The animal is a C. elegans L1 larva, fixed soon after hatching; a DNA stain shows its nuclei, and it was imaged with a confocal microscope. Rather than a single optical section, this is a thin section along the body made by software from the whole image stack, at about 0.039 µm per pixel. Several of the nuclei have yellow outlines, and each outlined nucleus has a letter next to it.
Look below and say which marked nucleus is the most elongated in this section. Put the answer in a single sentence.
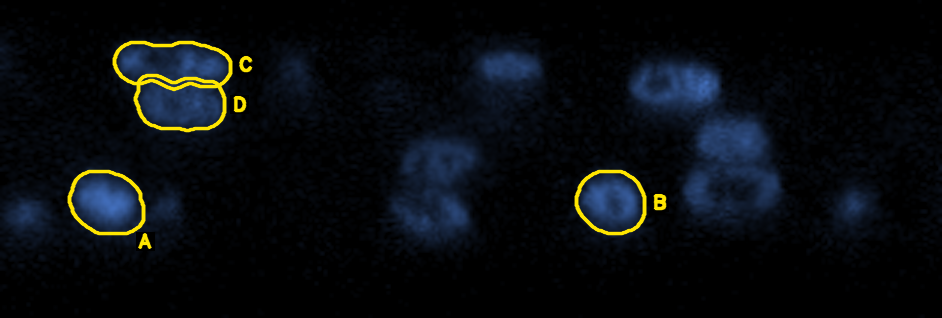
Nucleus C is the longest relative to its width.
